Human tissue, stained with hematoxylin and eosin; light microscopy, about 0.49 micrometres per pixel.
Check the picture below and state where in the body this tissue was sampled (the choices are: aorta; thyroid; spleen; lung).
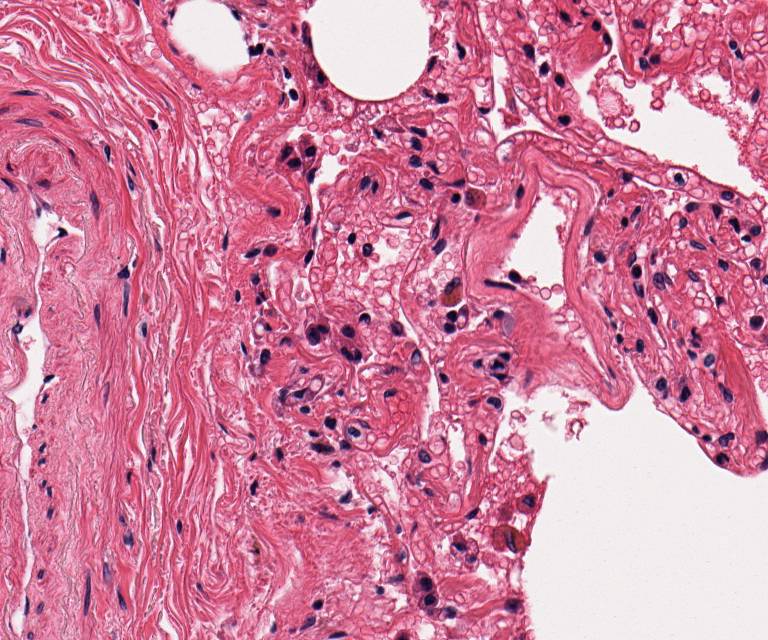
lung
